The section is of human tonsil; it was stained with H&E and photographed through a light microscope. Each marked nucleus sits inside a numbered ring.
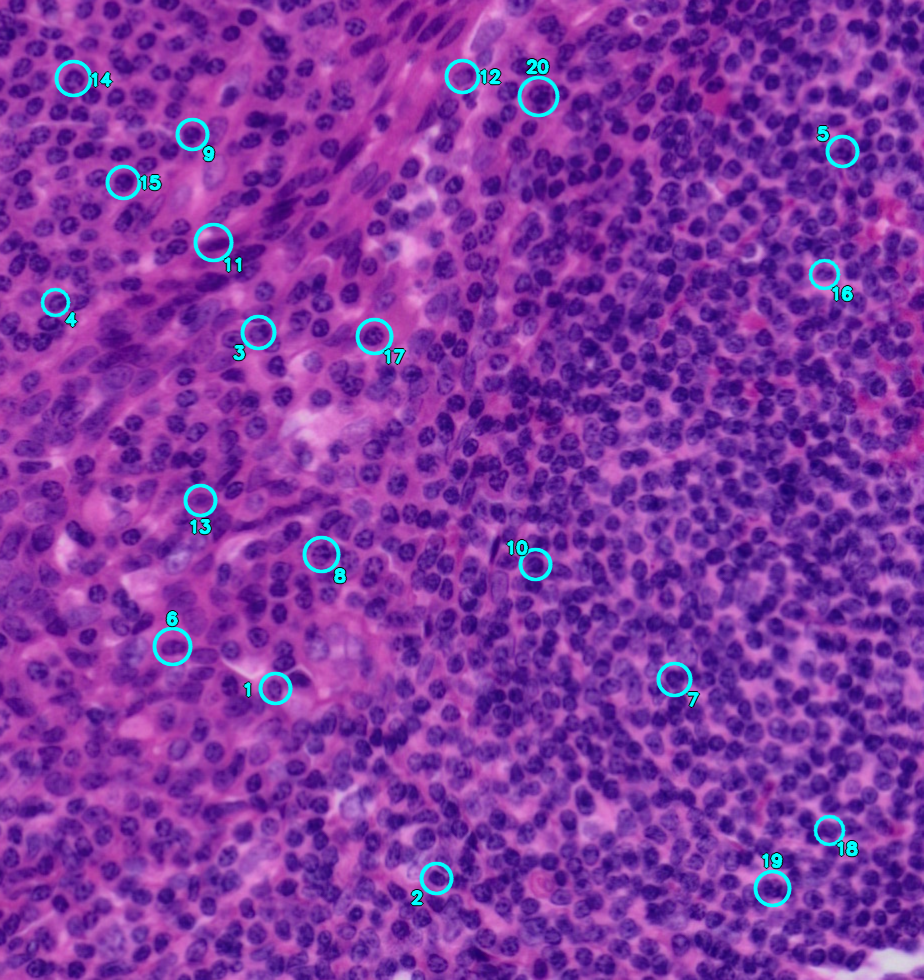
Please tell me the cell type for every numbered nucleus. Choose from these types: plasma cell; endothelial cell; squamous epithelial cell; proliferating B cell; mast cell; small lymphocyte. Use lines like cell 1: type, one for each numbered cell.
cell 1: plasma cell
cell 2: small lymphocyte
cell 3: plasma cell
cell 4: plasma cell
cell 5: small lymphocyte
cell 6: squamous epithelial cell
cell 7: small lymphocyte
cell 8: plasma cell
cell 9: plasma cell
cell 10: small lymphocyte
cell 11: squamous epithelial cell
cell 12: plasma cell
cell 13: squamous epithelial cell
cell 14: plasma cell
cell 15: plasma cell
cell 16: small lymphocyte
cell 17: plasma cell
cell 18: small lymphocyte
cell 19: small lymphocyte
cell 20: plasma cell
